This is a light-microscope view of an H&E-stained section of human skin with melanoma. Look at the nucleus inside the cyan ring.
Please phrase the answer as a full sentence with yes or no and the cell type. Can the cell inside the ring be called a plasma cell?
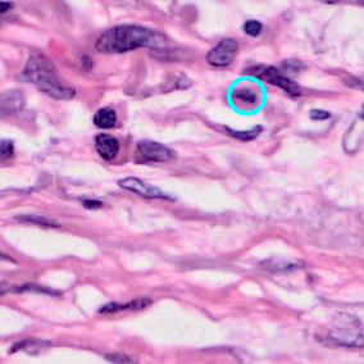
Yes, regarding cell type, the cell inside the ring is a plasma cell.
